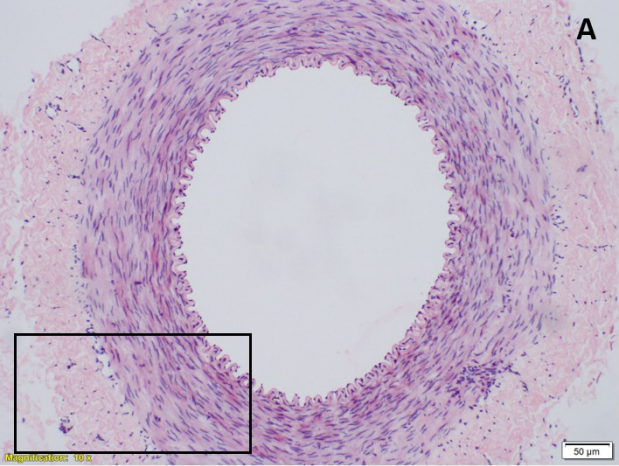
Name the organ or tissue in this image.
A: Small artery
